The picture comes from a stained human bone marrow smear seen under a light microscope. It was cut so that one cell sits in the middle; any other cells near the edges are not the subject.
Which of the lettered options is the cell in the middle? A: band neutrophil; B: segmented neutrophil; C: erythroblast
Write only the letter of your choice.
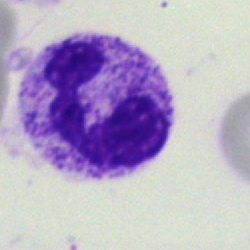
B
